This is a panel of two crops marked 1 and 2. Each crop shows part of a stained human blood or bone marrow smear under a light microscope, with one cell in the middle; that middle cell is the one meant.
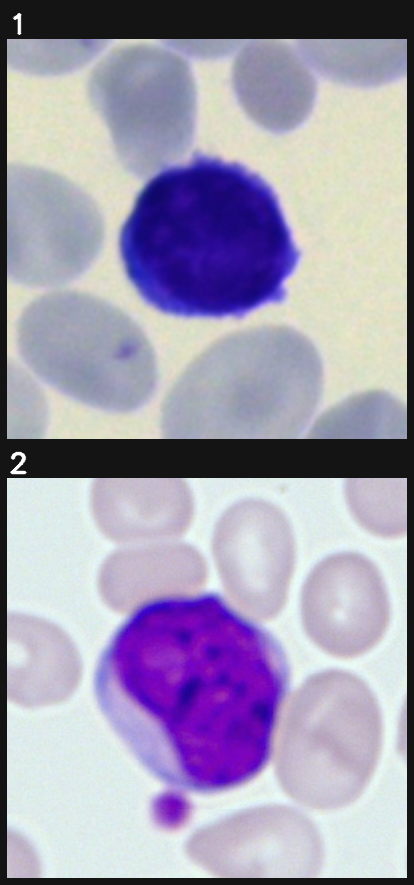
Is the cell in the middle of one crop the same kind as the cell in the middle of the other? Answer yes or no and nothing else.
no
